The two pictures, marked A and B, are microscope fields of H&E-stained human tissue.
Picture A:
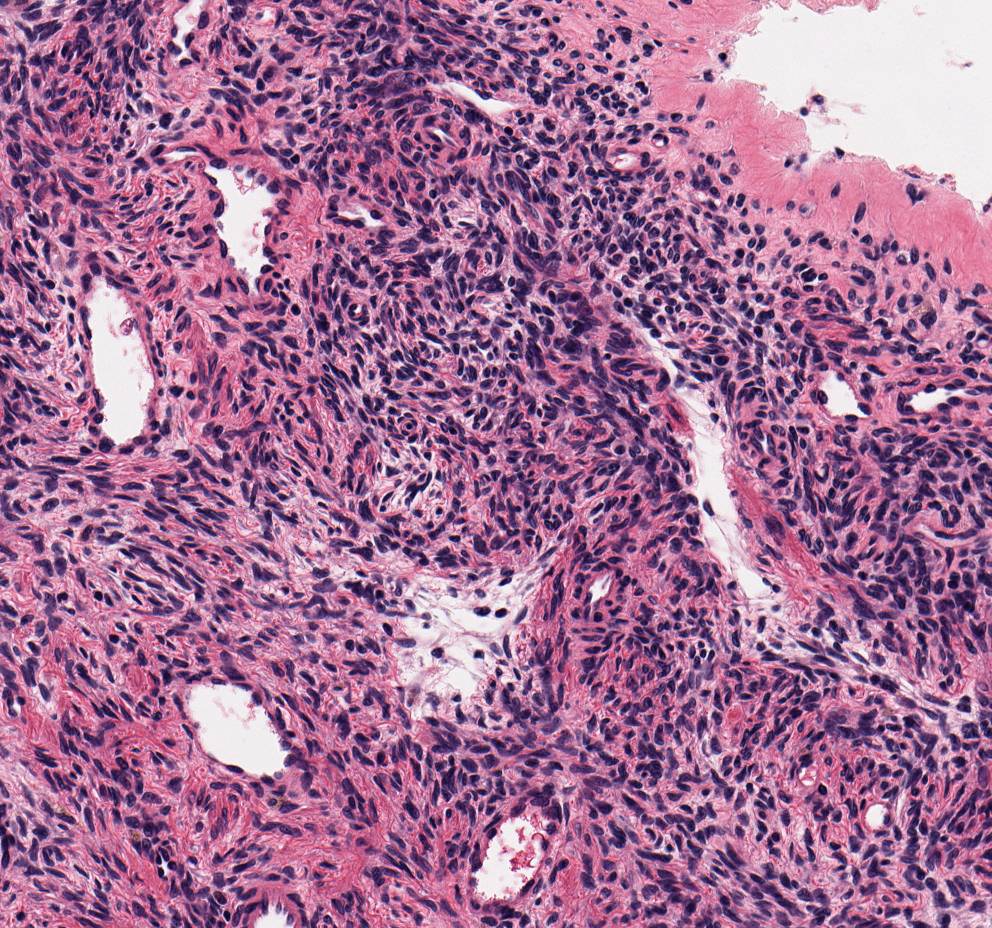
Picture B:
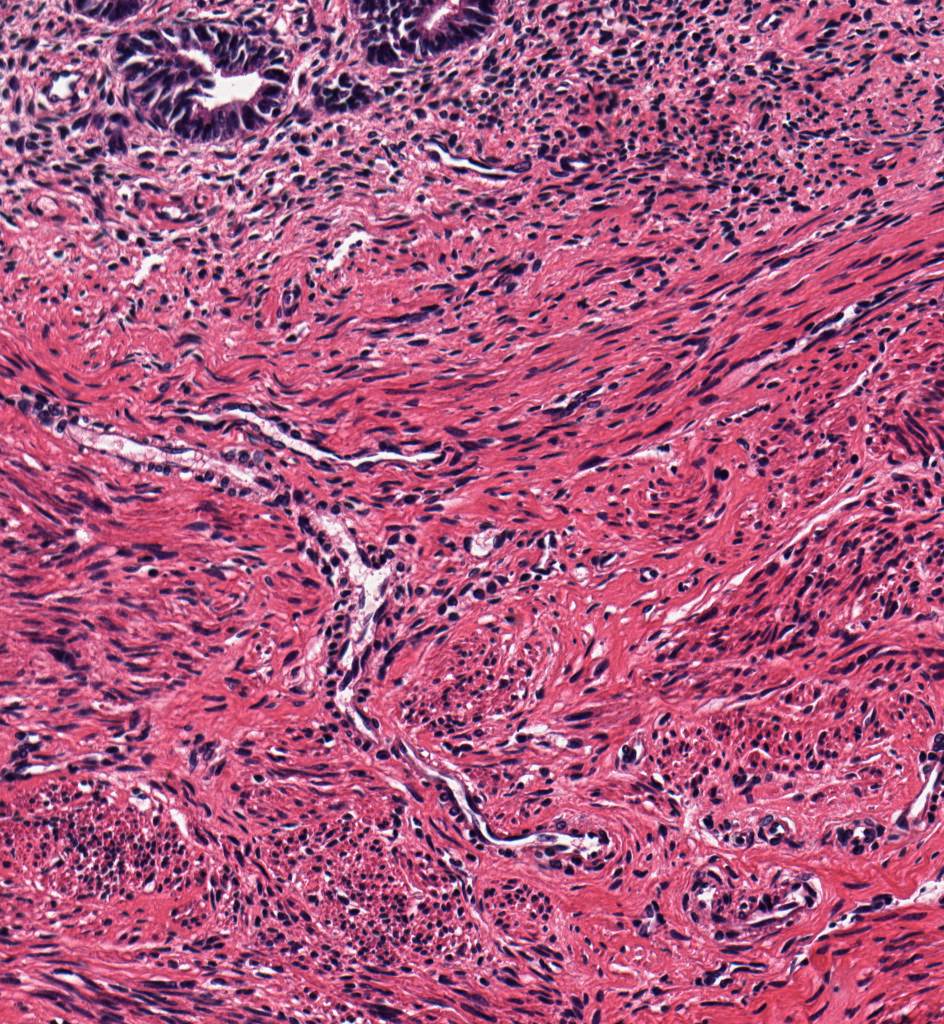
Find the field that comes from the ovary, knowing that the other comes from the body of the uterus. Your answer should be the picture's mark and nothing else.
A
